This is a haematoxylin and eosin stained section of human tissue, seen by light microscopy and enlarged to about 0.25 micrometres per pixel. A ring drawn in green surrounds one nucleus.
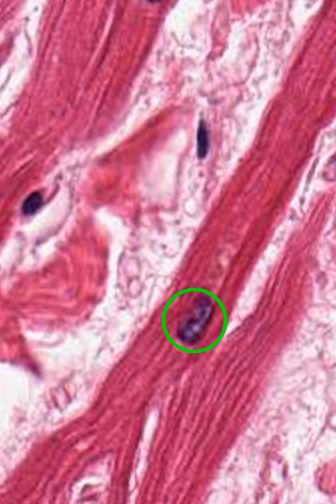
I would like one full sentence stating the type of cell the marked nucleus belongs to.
Within the picture, the marked nucleus belongs to a cardiomyocyte.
